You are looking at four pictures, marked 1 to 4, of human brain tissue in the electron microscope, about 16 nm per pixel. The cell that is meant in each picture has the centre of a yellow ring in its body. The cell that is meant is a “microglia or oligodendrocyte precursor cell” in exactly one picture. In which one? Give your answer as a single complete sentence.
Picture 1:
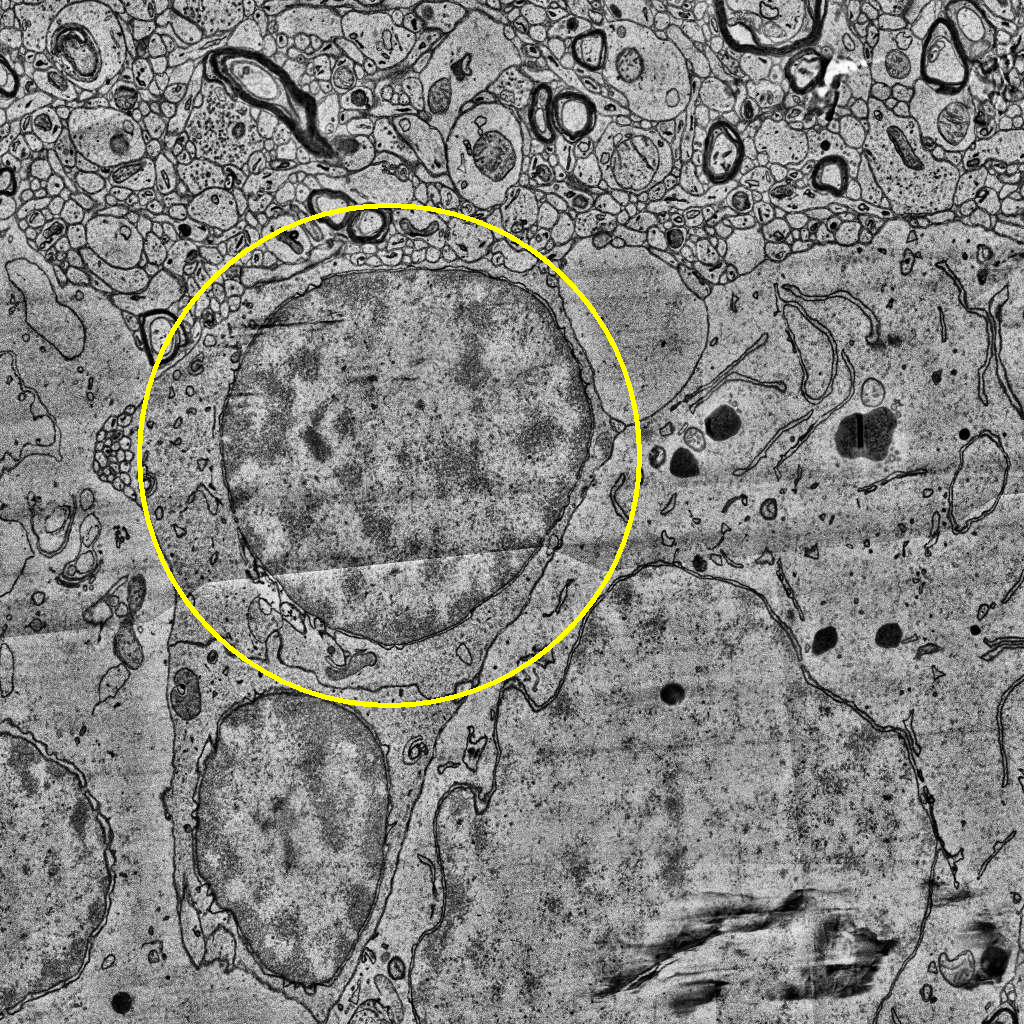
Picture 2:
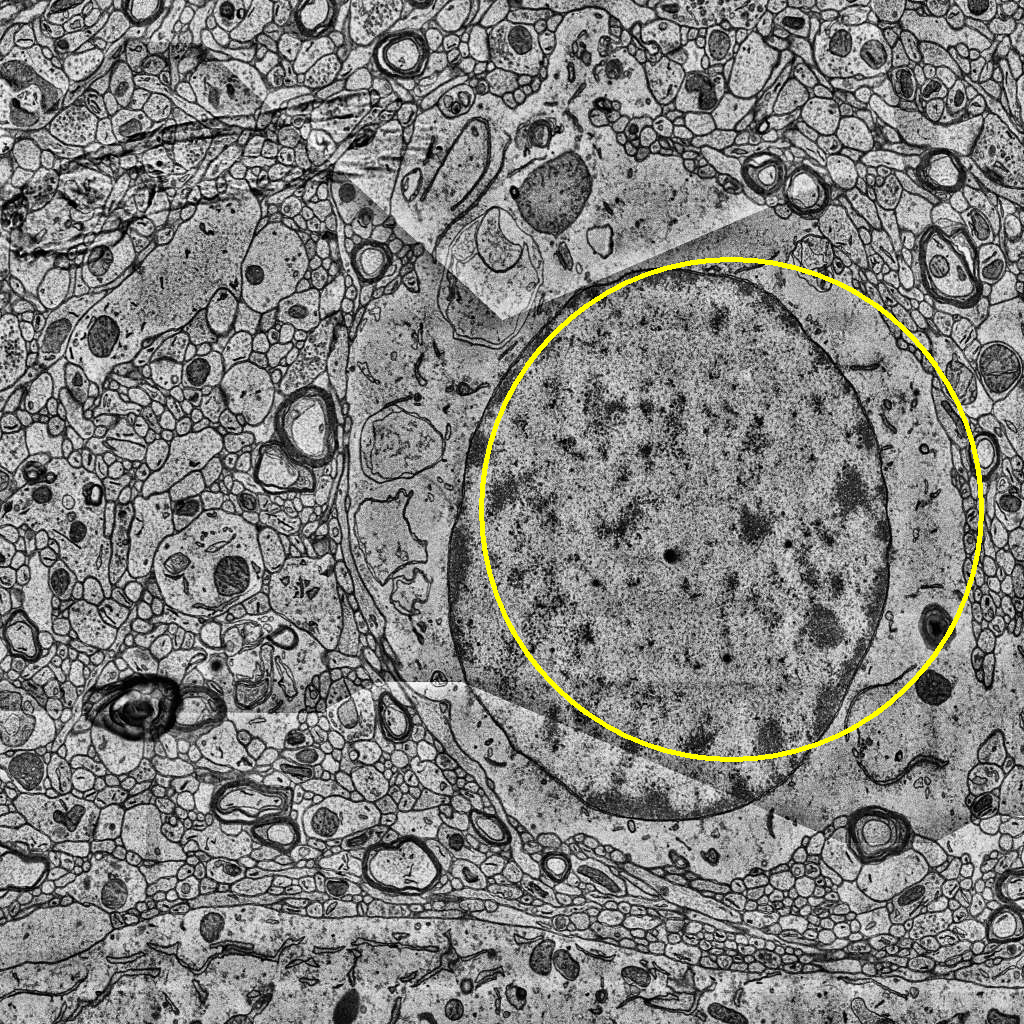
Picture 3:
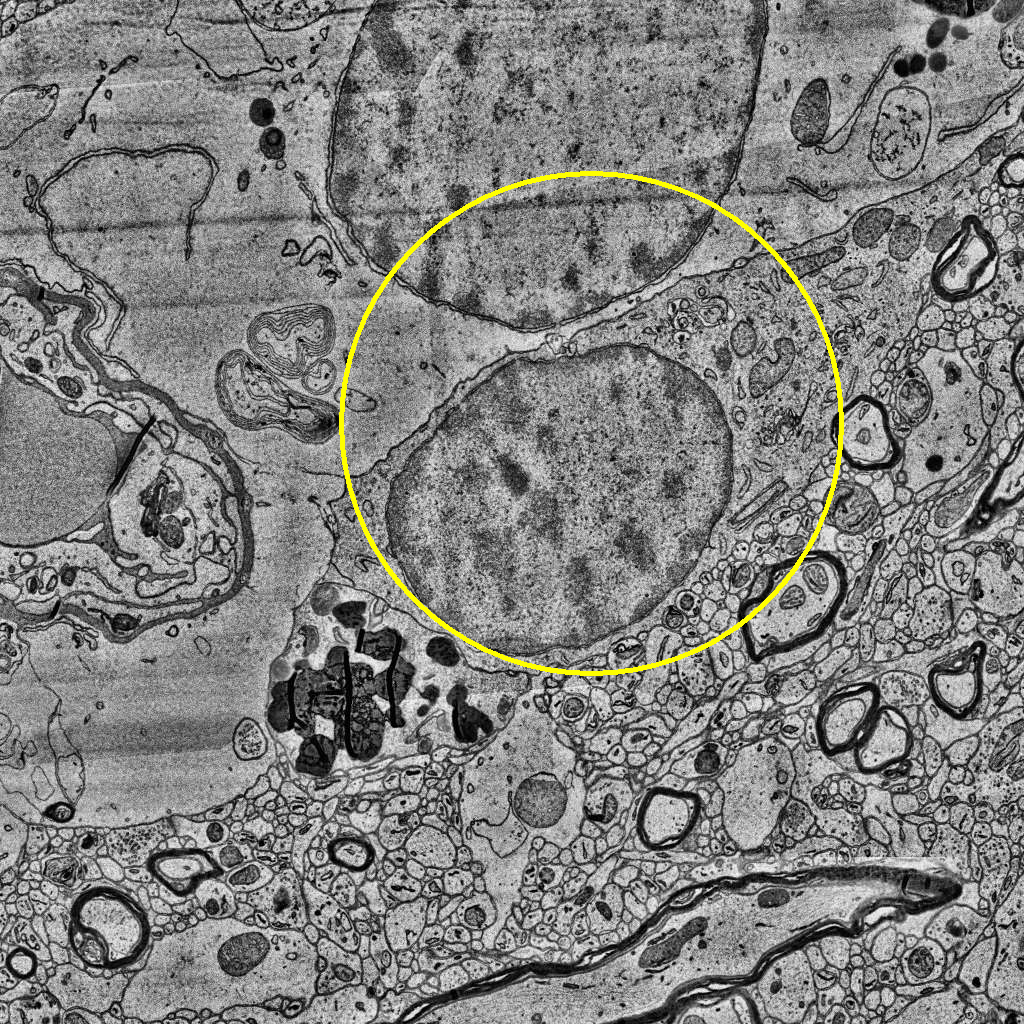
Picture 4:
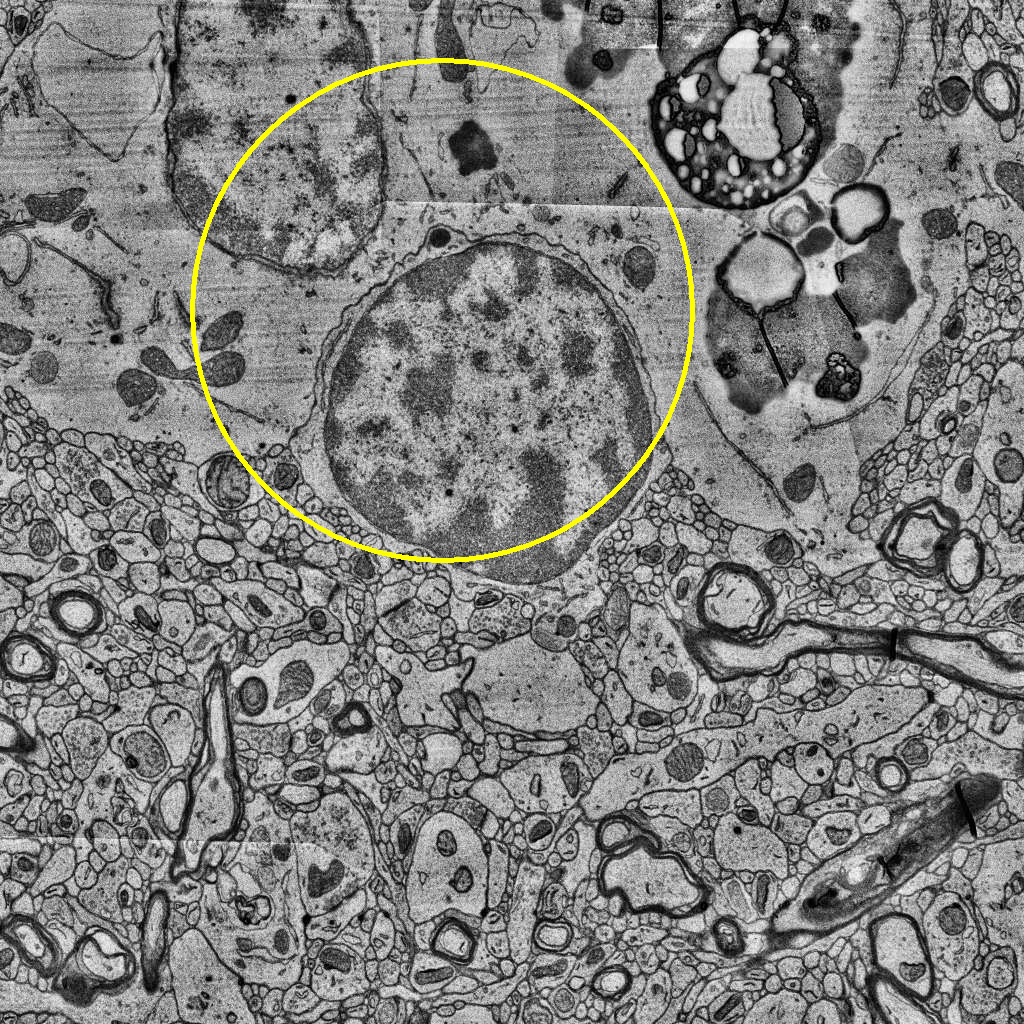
The picture with the “microglia or oligodendrocyte precursor cell” is 4.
